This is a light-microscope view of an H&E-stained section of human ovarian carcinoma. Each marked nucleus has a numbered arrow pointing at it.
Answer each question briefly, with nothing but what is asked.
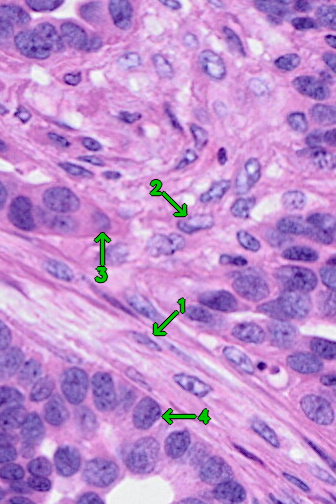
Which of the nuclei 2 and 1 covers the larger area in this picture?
2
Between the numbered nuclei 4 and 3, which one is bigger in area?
4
